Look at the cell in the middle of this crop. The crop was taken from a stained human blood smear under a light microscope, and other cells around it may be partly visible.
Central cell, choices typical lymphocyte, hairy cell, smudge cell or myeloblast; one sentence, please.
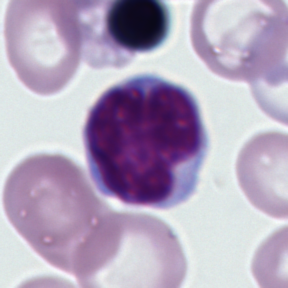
Regarding the central cell, it is a typical lymphocyte.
